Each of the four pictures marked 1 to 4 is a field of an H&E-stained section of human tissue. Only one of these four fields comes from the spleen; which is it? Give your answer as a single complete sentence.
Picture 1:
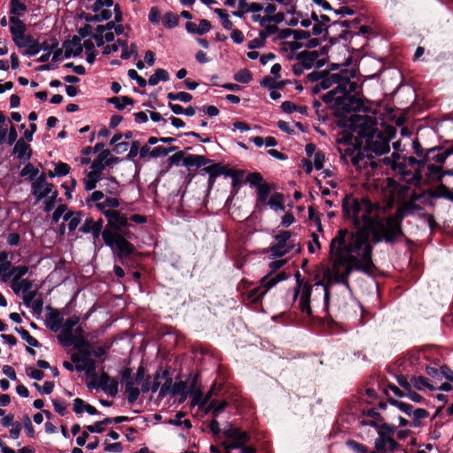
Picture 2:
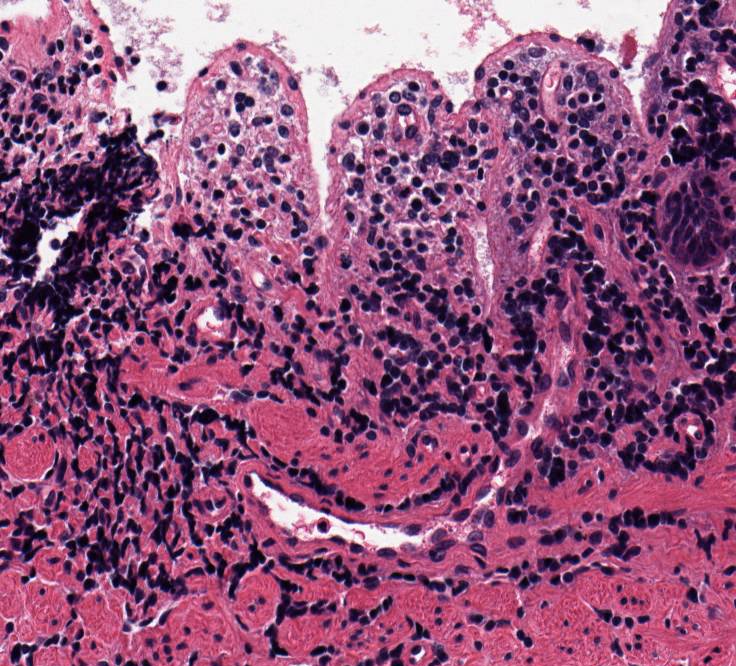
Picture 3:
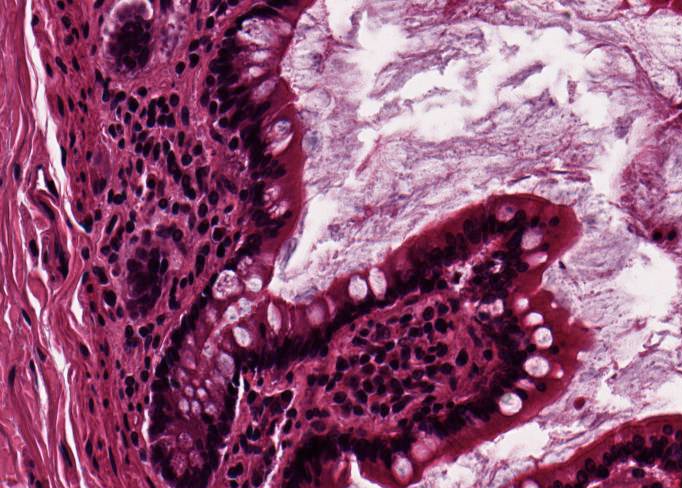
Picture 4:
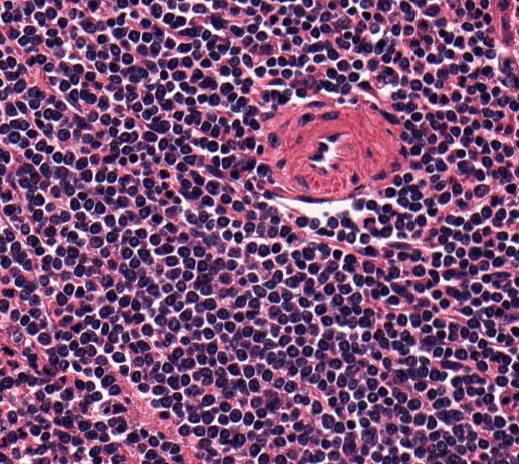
Picture 4 comes from the spleen.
